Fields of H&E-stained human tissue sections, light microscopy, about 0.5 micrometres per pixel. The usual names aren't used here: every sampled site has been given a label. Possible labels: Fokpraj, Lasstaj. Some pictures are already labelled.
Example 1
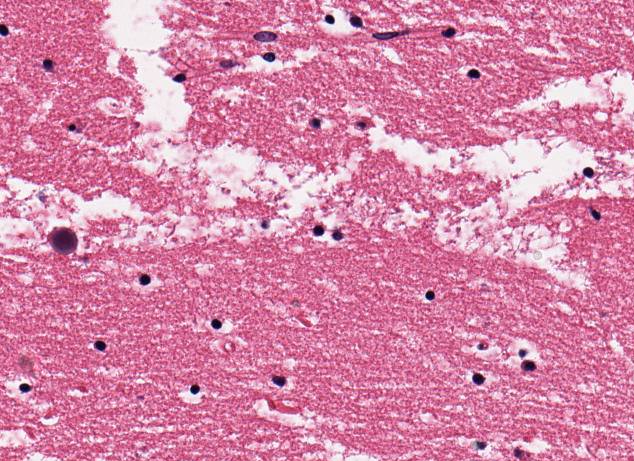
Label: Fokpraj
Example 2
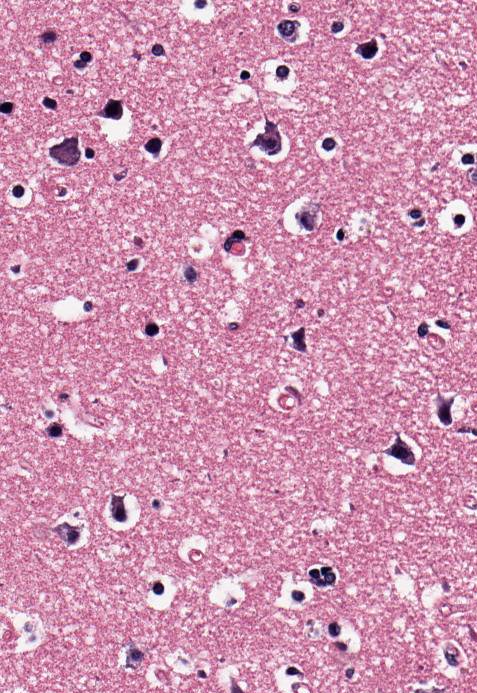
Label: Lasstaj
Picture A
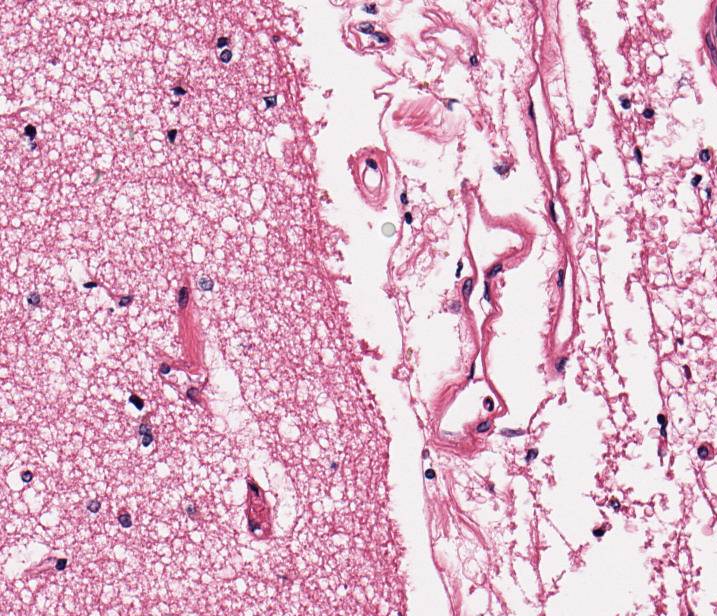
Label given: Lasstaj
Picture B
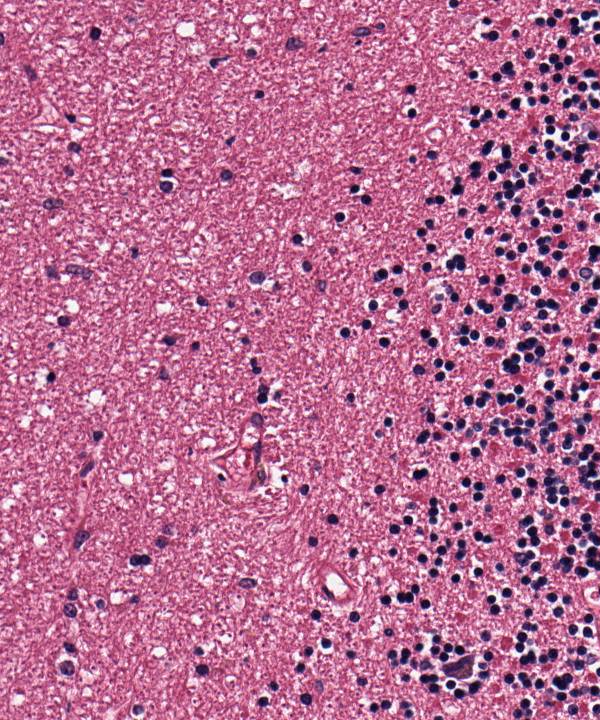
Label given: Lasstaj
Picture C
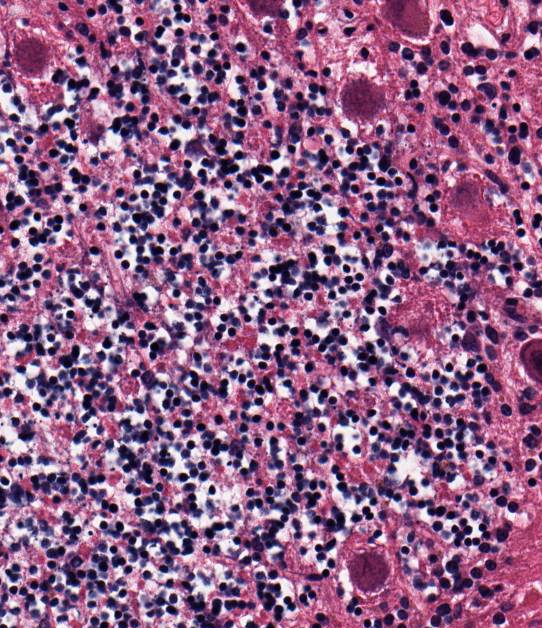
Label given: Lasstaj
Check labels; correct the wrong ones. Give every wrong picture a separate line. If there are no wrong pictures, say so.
B: not Lasstaj but Fokpraj
C: not Lasstaj but Fokpraj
